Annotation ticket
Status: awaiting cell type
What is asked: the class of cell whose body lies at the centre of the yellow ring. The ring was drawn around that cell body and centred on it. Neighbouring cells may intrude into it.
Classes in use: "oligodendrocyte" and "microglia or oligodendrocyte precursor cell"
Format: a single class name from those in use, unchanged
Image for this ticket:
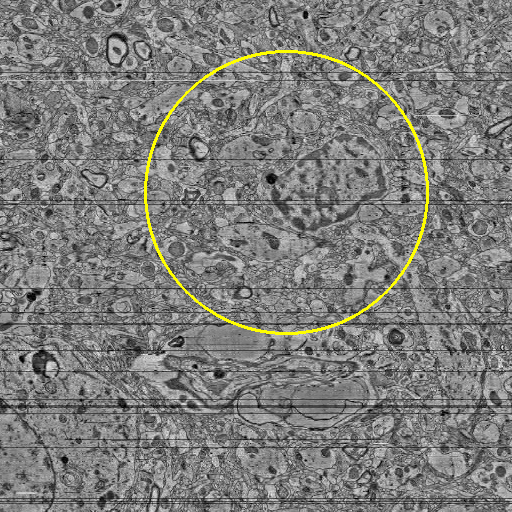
microglia or oligodendrocyte precursor cell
